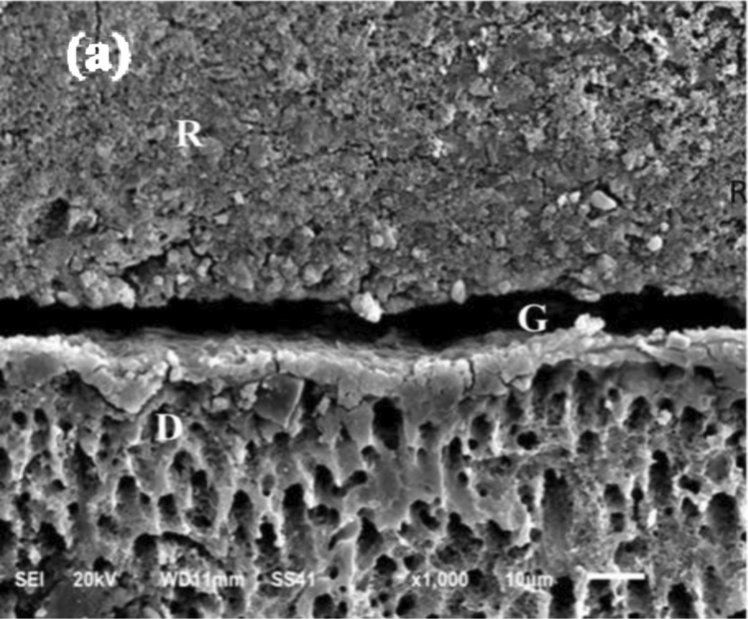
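The upper material has a rough, granular texture with scattered particles, while the dentin below is perforated by numerous dark, round to oval openings of the dentinal tubules. A continuous dark gap separates the two layers, so the material/dentin interface appears discontinuous. No resin tags can be seen reaching from the material into the tubules.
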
